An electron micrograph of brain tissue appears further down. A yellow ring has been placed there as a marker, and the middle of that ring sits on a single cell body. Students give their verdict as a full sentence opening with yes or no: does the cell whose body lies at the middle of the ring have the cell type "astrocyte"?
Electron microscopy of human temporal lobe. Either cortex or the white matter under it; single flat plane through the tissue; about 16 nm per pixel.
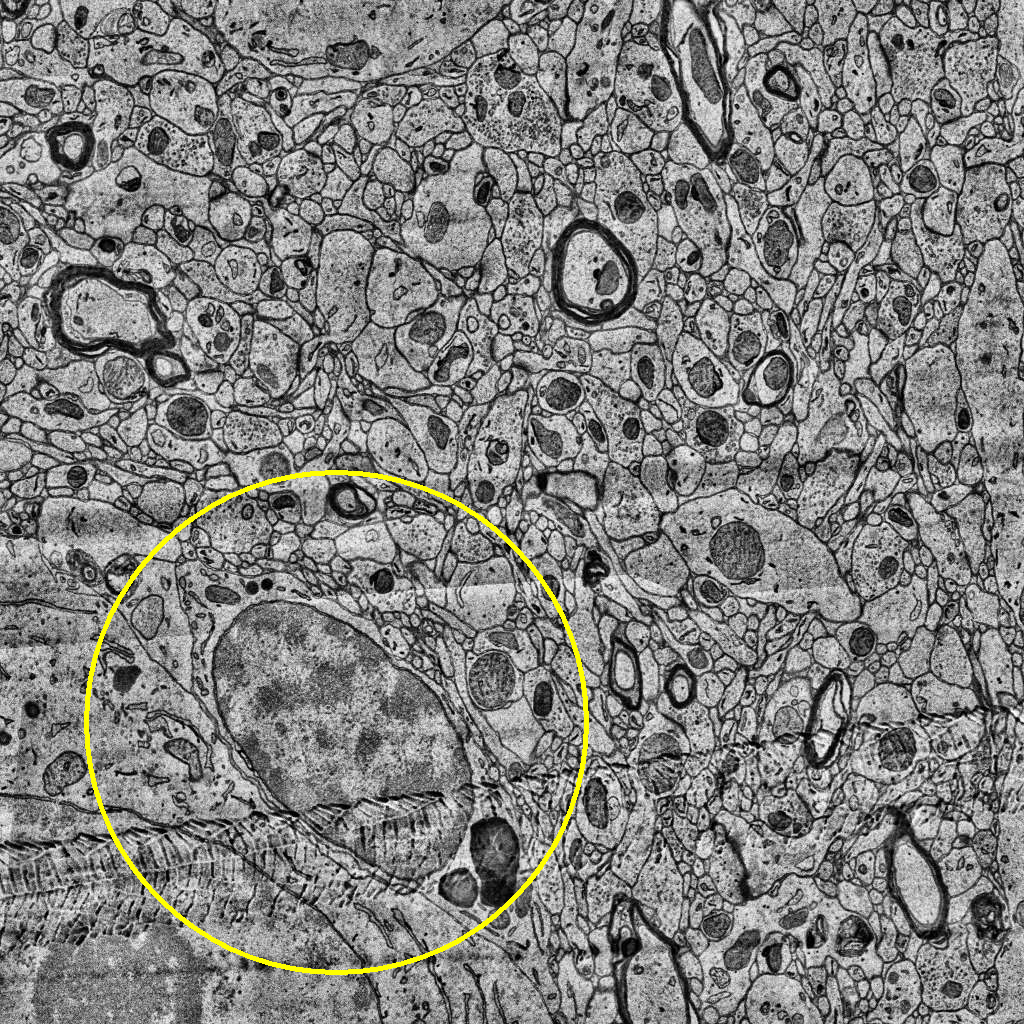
No, in this picture the cell whose body holds the ring's middle has a different cell type.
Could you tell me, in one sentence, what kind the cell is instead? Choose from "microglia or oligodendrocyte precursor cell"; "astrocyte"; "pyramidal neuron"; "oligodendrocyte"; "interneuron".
It is a microglial cell or oligodendrocyte precursor cell at the centre of the ring.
